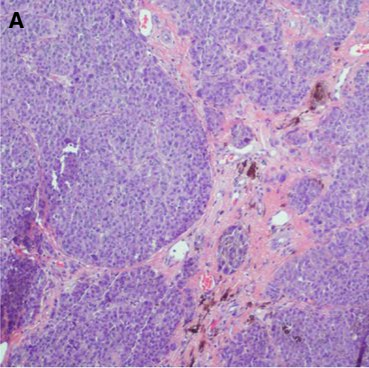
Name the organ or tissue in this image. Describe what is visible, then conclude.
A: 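Large rounded nests of densely packed tumor cells. Nests separated by bands of pink fibrous stroma. Brown pigment deposits in the stroma. So: melanoma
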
